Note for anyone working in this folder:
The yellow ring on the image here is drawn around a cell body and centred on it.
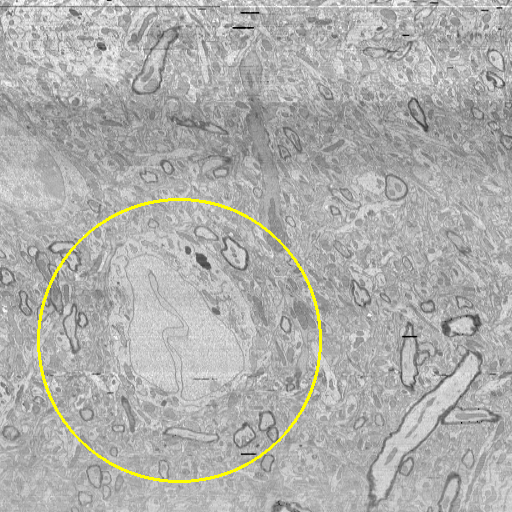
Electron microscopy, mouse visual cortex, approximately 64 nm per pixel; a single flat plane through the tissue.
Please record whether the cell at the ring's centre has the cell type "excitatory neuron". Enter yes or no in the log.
yes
